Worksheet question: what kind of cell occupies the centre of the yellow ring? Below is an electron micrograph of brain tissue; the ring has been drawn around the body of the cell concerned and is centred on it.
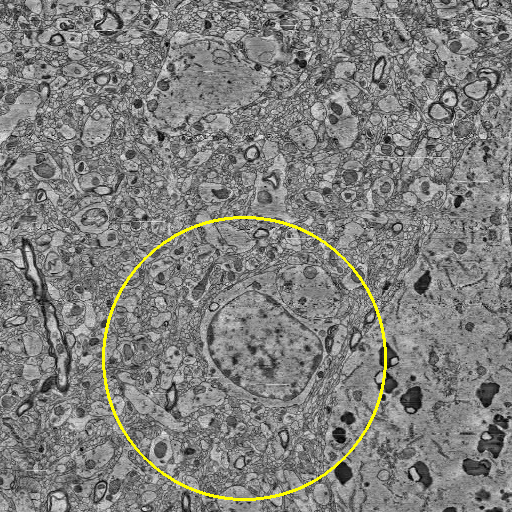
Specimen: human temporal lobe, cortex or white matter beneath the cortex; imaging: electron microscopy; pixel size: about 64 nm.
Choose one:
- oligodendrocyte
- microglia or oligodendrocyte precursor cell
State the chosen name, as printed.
microglia or oligodendrocyte precursor cell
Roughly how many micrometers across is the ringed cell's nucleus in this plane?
In this plane, roughly 7 micrometres across.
